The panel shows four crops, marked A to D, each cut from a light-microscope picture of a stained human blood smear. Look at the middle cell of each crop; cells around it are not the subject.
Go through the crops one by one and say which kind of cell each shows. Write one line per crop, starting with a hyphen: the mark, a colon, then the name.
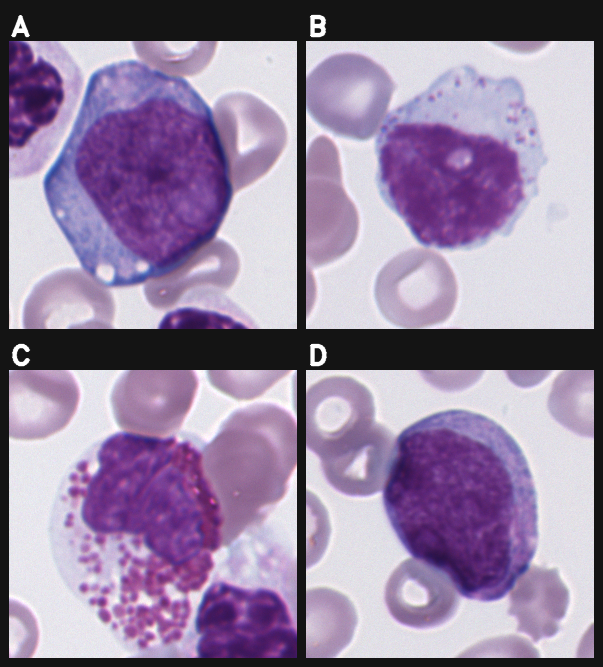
- A: promyelocyte
- B: large granular lymphocyte
- C: eosinophil
- D: promyelocyte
